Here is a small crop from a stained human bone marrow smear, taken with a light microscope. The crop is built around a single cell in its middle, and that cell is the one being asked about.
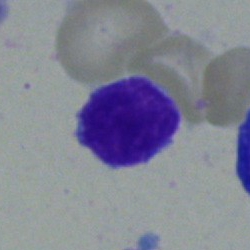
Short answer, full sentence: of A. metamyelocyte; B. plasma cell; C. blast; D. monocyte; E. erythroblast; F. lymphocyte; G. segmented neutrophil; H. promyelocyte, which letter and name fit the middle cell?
Since the cell in the centre is a blast, the correct option is C.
